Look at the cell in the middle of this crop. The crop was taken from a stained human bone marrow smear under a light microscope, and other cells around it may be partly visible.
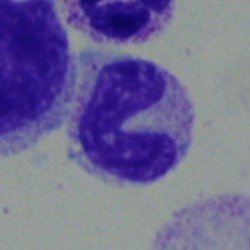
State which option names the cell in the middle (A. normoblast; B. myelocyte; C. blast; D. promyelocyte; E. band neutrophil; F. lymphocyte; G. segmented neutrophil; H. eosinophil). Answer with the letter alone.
E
